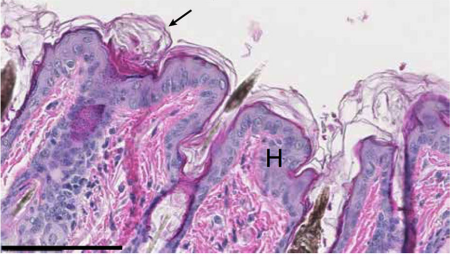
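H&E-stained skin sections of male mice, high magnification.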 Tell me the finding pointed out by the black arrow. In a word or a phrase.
Hyperkeratosis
